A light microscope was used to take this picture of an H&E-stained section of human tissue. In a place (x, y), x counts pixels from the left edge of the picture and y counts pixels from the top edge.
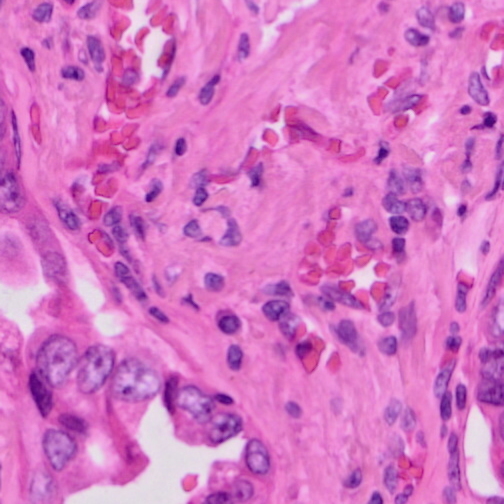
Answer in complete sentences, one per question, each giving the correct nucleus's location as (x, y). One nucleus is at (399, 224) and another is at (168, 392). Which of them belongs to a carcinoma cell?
Between the pair, the nucleus at (168, 392) belongs to a carcinoma cell.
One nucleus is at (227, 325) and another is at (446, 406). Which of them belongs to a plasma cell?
The nucleus situated at (227, 325) is the one belonging to a plasma cell.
